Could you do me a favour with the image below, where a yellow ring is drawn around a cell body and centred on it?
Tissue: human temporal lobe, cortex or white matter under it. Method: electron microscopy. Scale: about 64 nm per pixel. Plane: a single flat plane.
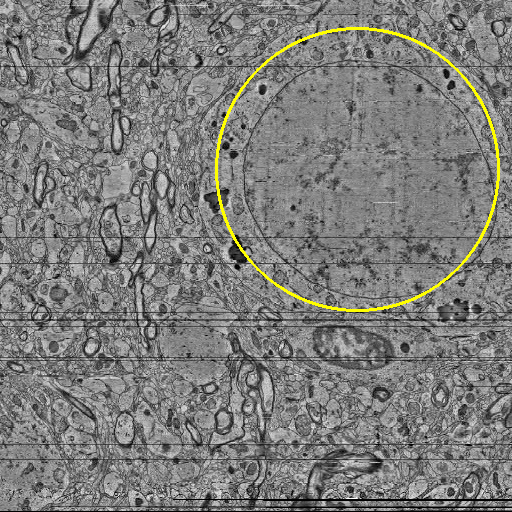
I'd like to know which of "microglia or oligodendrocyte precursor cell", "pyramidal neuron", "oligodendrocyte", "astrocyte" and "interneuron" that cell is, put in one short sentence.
The cell at the ring's centre is a pyramidal neuron.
